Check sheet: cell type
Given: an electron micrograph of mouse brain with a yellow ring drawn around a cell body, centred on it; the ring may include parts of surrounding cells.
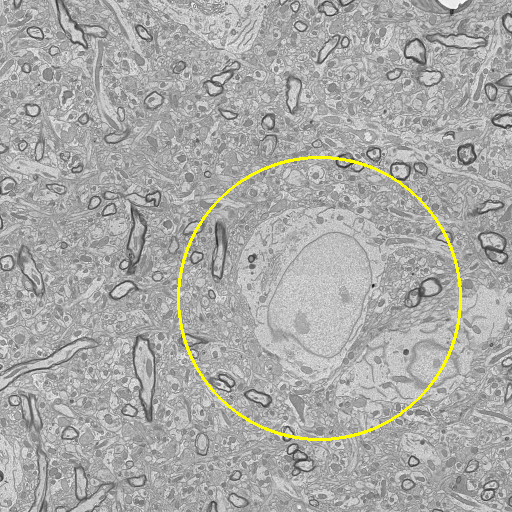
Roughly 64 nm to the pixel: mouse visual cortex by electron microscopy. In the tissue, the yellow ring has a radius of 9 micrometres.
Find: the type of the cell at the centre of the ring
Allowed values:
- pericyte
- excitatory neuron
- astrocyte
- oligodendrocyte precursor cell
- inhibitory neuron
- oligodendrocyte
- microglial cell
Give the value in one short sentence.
Here the ringed cell is an excitatory neuron.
